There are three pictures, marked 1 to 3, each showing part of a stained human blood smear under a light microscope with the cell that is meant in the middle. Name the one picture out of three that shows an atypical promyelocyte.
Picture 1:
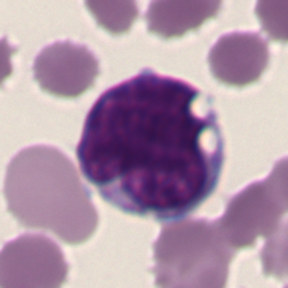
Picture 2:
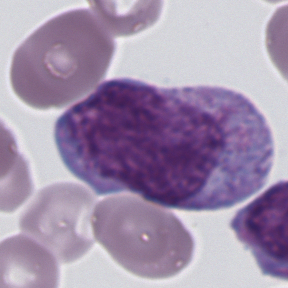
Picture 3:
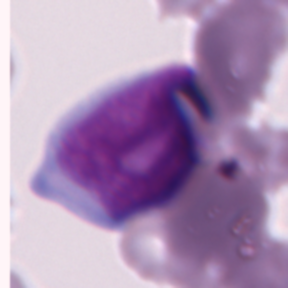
2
